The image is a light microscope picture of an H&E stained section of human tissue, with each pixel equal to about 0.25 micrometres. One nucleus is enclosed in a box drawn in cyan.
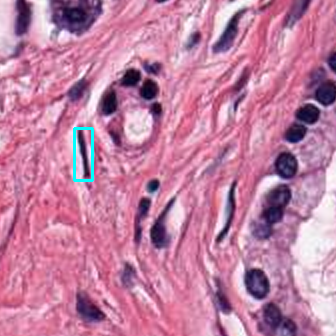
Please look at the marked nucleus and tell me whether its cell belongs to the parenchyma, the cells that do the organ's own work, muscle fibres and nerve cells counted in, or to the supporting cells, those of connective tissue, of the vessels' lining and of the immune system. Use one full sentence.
The marked nucleus is recognized as that of a supporting cell.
